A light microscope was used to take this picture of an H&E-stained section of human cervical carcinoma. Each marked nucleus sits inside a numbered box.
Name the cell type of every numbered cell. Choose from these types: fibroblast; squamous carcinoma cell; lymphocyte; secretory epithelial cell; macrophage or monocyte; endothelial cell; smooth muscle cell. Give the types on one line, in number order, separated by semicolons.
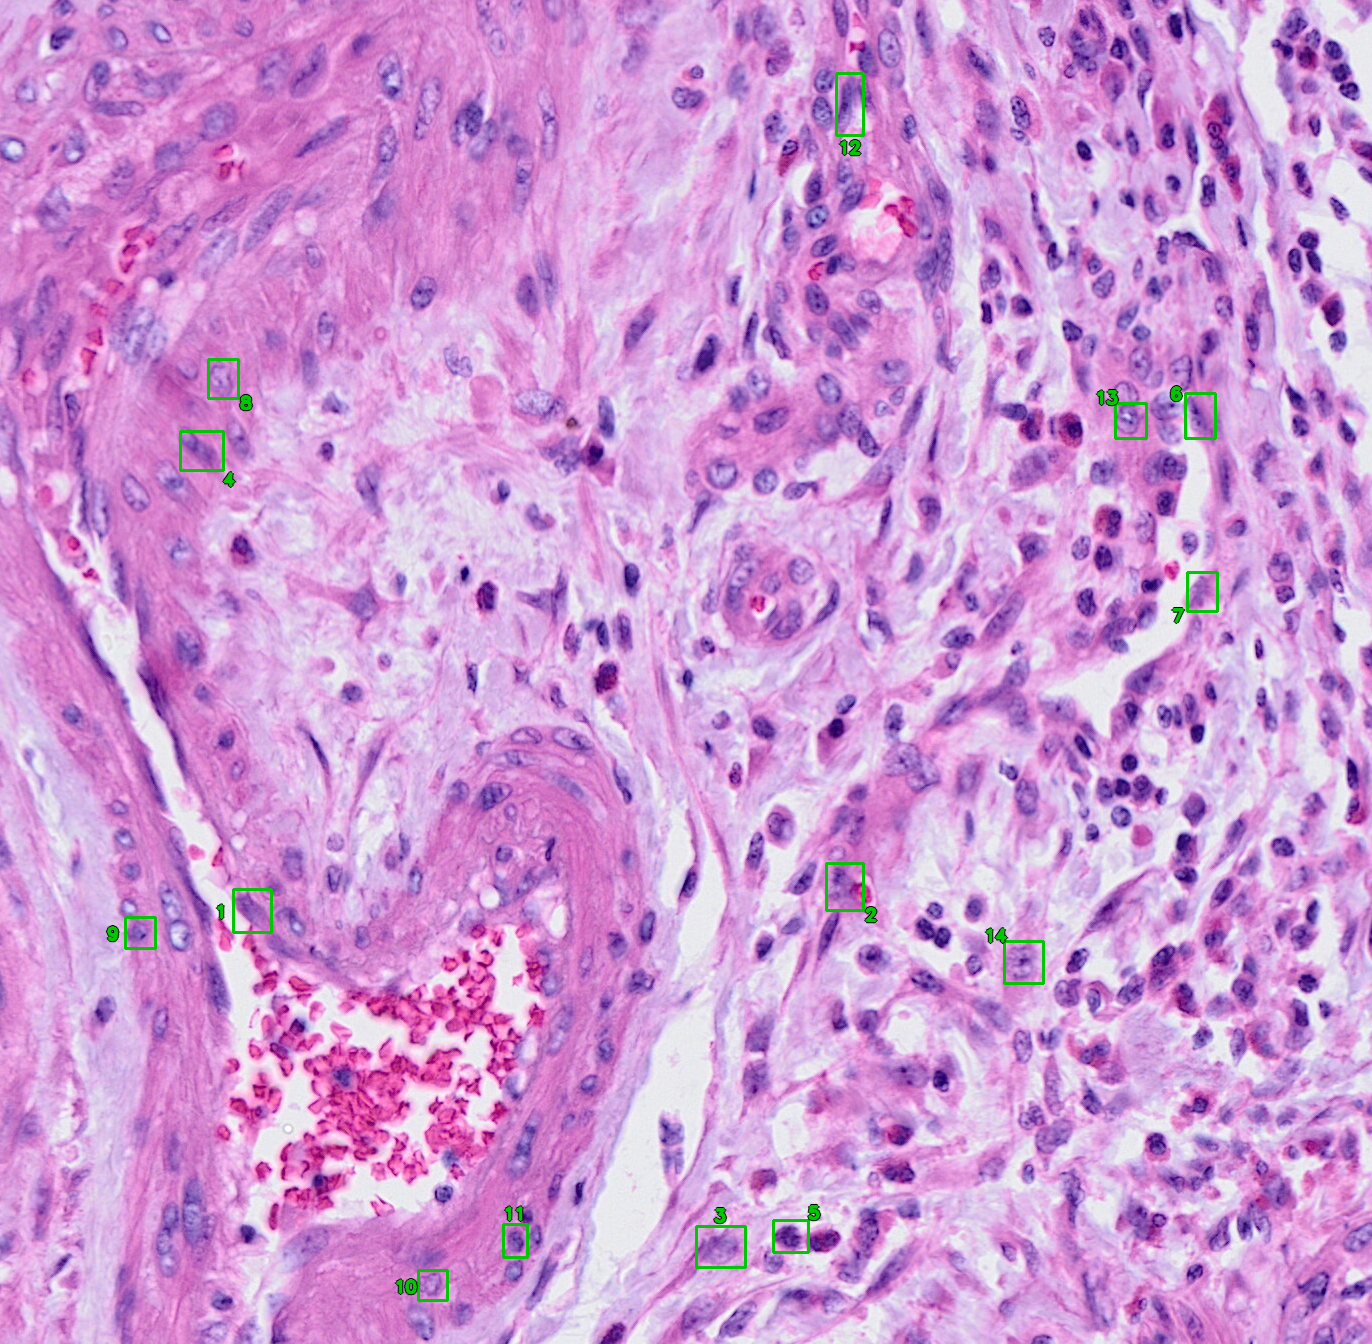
endothelial cell; endothelial cell; fibroblast; smooth muscle cell; lymphocyte; endothelial cell; endothelial cell; smooth muscle cell; smooth muscle cell; smooth muscle cell; smooth muscle cell; endothelial cell; endothelial cell; endothelial cell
